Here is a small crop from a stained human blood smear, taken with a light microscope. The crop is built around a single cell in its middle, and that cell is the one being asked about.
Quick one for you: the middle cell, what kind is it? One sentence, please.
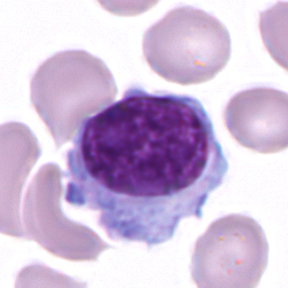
The central cell, amid any neighbouring cells, is a plasma cell.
